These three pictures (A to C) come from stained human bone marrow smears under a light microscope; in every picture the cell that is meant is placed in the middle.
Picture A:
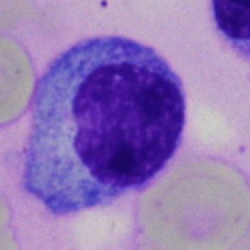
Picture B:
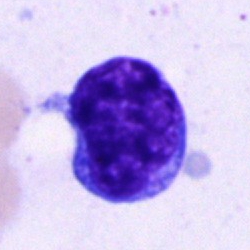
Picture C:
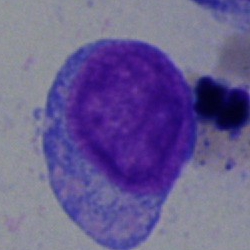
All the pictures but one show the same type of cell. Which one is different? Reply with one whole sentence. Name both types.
The different one is picture A; it shows a myelocyte, whereas all the others show blasts.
